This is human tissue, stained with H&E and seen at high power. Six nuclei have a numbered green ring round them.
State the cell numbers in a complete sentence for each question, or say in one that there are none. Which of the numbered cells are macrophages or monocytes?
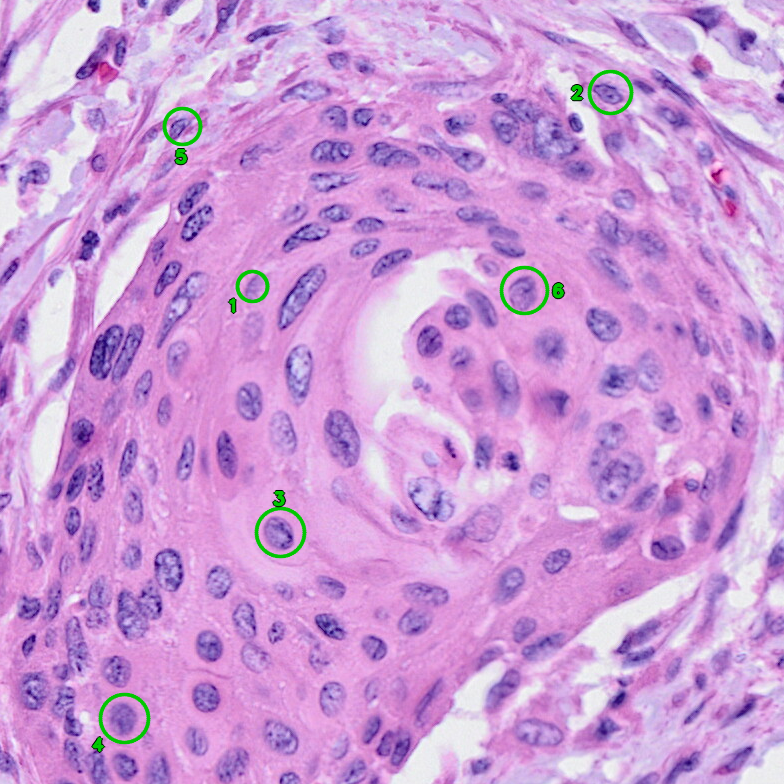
Cell 2, and no other numbered cell, is a macrophage or monocyte.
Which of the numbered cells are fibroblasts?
Cell 5 is a fibroblast, and it is the only one.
